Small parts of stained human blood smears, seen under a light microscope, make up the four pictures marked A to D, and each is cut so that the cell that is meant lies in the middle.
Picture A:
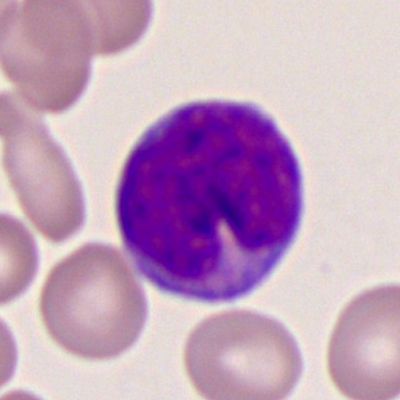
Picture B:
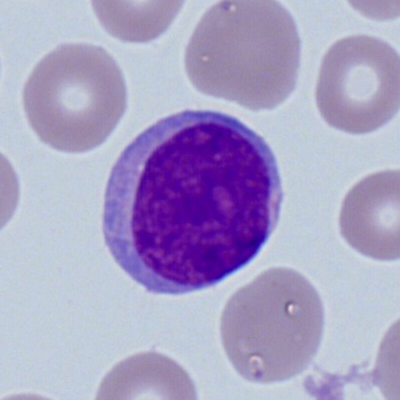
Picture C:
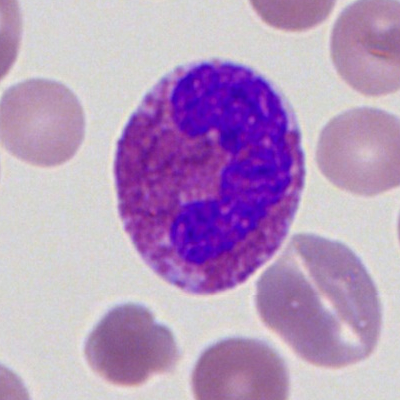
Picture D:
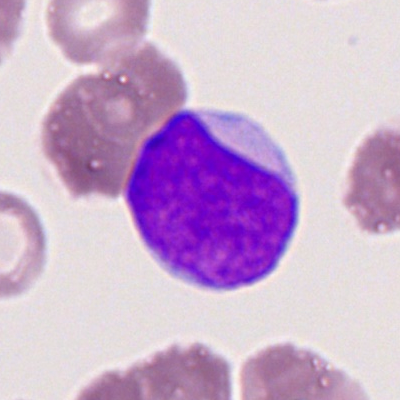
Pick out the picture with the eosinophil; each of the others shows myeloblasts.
C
